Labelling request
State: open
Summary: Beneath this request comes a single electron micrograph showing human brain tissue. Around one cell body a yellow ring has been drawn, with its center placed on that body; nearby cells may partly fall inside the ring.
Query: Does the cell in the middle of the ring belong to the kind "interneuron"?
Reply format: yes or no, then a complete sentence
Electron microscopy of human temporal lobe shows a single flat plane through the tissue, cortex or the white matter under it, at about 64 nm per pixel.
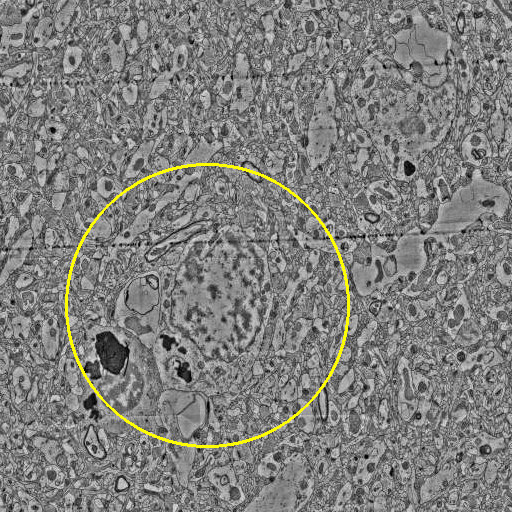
Yes, the cell sitting at the center of the ring in this picture is of that kind.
